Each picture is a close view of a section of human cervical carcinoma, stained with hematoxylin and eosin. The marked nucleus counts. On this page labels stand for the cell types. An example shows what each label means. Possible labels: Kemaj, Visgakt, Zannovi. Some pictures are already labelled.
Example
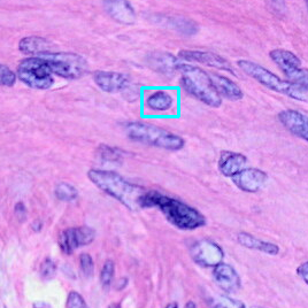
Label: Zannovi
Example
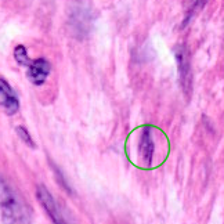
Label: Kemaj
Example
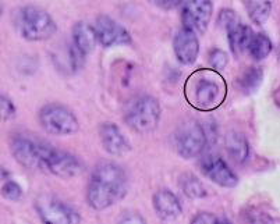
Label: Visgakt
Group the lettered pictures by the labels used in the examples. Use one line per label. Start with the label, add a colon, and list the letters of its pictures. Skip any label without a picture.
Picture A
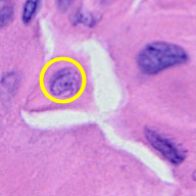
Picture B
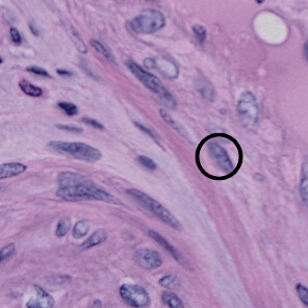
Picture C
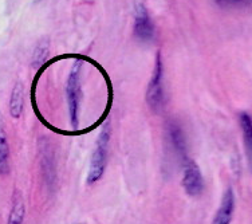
Kemaj: C
Visgakt: A
Zannovi: B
